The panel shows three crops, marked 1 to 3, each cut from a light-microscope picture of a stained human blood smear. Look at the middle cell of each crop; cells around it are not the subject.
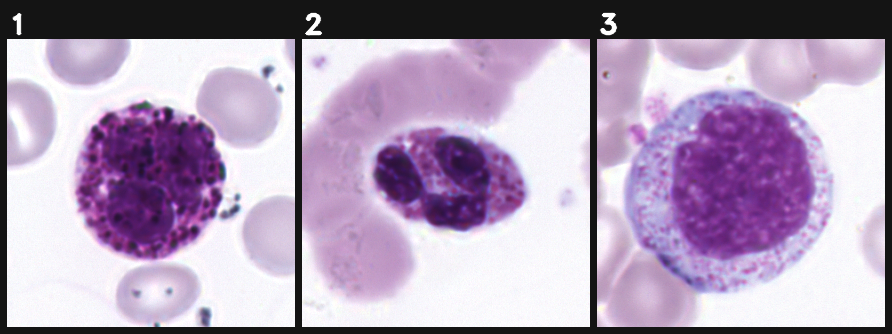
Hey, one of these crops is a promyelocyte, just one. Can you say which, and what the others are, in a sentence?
Crop 3 is recognised as a promyelocyte, whereas crop 1 is a basophil and crop 2 is an eosinophil.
